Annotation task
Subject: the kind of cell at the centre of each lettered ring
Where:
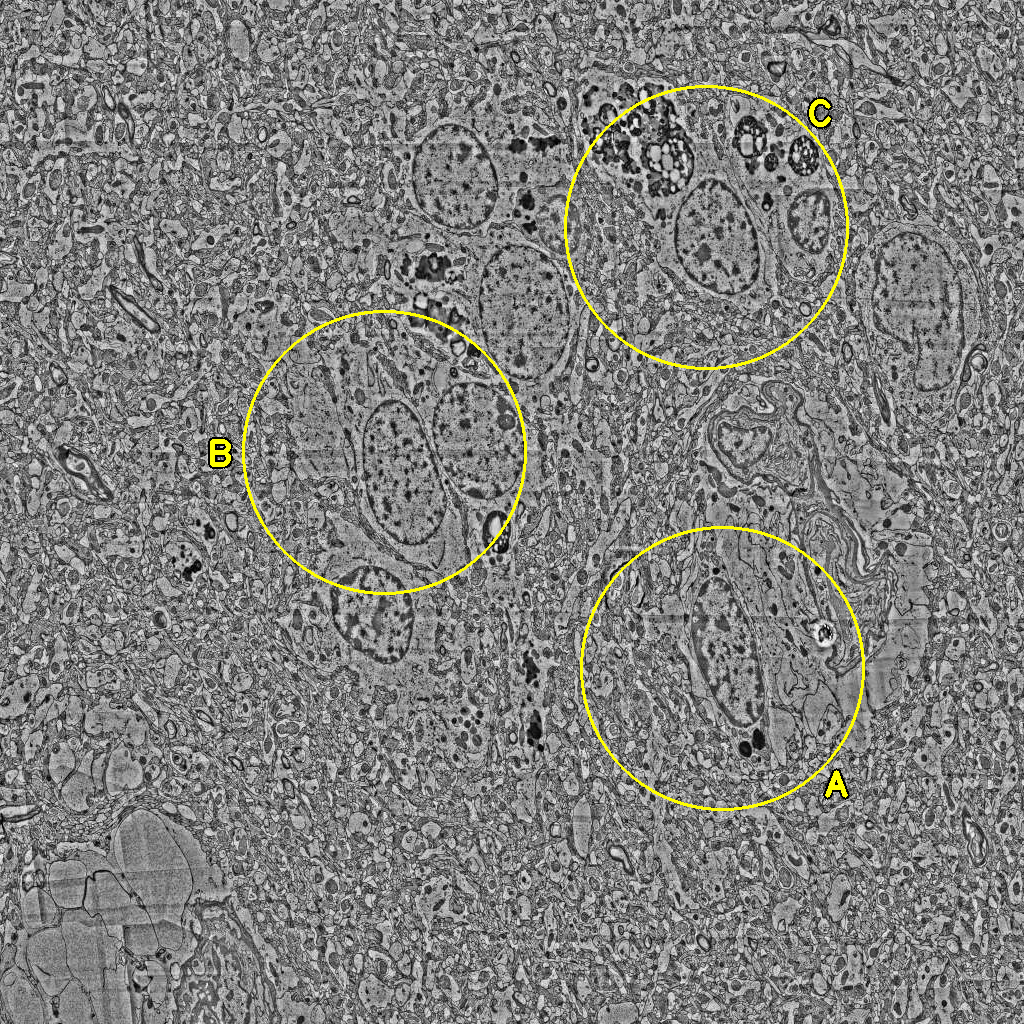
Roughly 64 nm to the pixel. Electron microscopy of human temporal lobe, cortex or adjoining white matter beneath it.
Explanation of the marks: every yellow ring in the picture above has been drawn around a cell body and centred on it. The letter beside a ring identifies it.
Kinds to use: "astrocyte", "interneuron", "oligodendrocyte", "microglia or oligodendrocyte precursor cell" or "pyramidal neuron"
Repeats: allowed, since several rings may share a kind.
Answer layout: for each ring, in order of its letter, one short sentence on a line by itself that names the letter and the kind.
The ring lettered A is drawn around a microglial cell or oligodendrocyte precursor cell.
The ring lettered B is drawn around an astrocyte.
The ring lettered C is drawn around an astrocyte.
